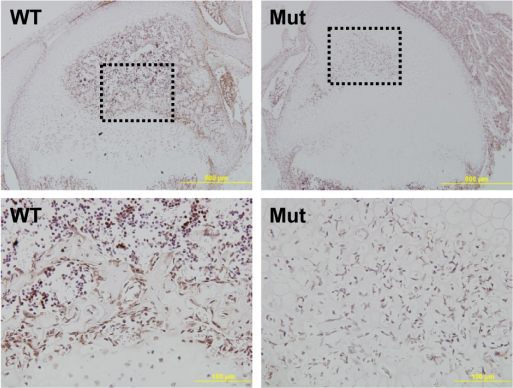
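A rounded cartilaginous epiphysis is seen at low magnification, with a central cavity of loose cellular tissue marked by a dashed box. In the left image the cavity is larger and dense, with brown-stained elongated cells lining channels and a network of slender spaces, and many small round cells crowded between them. In the right image the cavity is less developed and paler, holding loosely arranged spindle and stellate cells with little brown staining. Around the cavities, cartilage with scattered chondrocytes in lacunae forms a pale surrounding matrix.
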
